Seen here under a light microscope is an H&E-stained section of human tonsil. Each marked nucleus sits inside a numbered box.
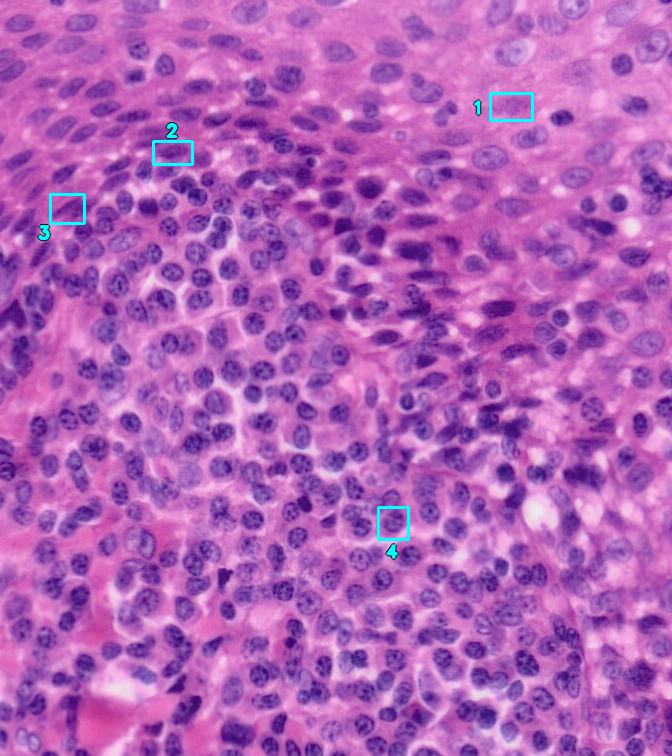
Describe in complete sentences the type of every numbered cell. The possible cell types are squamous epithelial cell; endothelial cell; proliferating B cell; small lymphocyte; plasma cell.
Cells 1, 2 and 3 are squamous epithelial cells. Cell 4 is a plasma cell.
